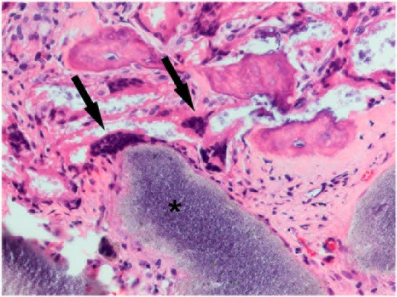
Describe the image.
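A large acellular purple-grey granular particle occupies the lower part, with further pink and purple fragments above. Large cells with clusters of many dark purple nuclei lie directly against the particle surfaces. The particles are embedded in pink connective tissue rich in small spindle and round cells with dark nuclei, with clear spaces and small vessels between fragments. The tissue is highly cellular around the material.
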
